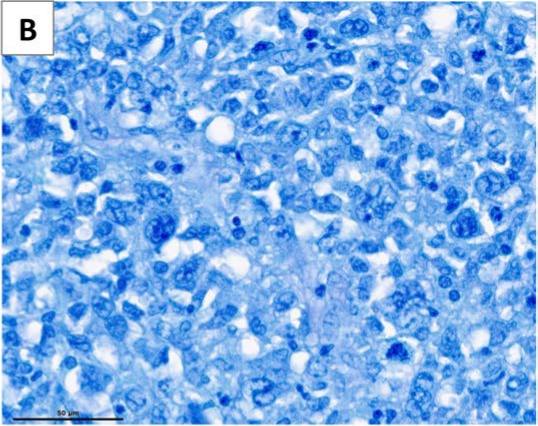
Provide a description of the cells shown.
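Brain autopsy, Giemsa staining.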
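A dense, diffuse sheet of large tumor cells fills the field with no glandular or layered arrangement. Chromatin is dark and some nuclei look clumped. Scattered small, round, darkly stained nuclei of smaller cells lie between the large ones. Small clear spaces are interspersed throughout the sheet.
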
